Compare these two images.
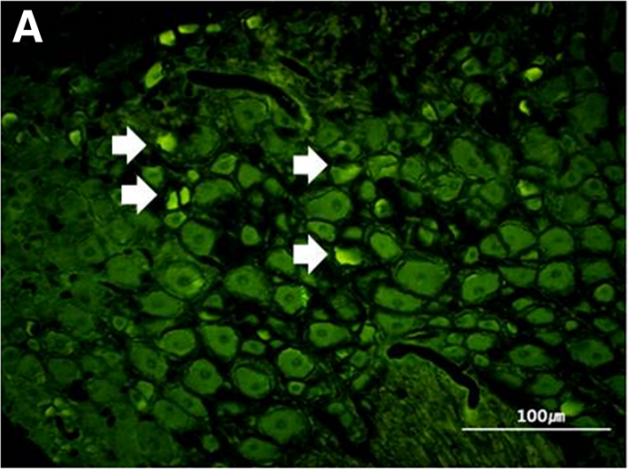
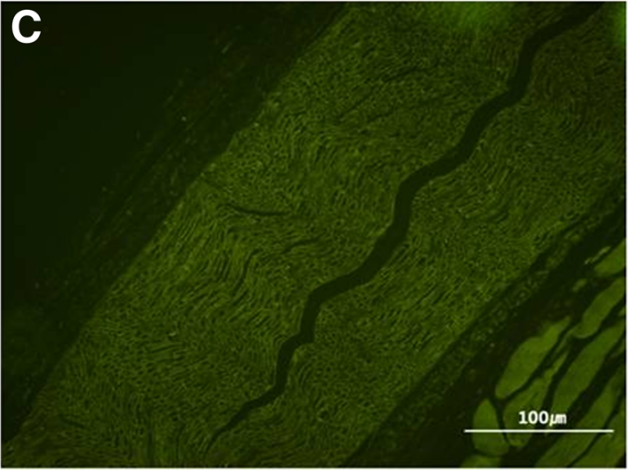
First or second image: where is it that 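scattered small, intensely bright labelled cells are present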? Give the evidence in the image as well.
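Second image: evenly dim green wavy fibres with no isolated bright bodies. First image: several small, brilliant green bodies scattered among large round cell bodies. That points to this answer: the first image.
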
